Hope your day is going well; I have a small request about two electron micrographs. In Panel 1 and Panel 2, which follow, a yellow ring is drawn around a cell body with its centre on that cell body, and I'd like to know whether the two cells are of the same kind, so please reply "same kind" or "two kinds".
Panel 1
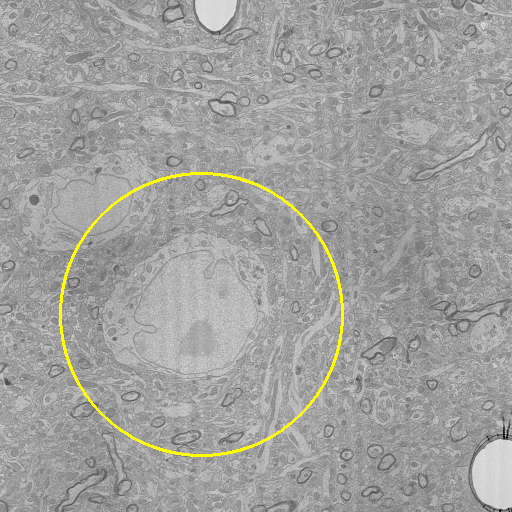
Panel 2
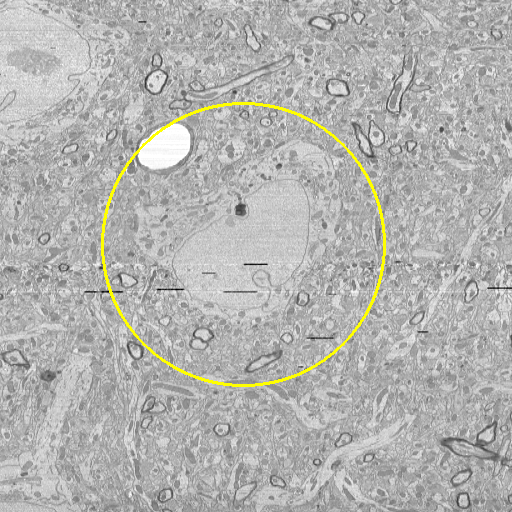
same kind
